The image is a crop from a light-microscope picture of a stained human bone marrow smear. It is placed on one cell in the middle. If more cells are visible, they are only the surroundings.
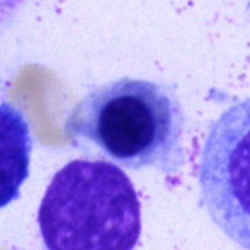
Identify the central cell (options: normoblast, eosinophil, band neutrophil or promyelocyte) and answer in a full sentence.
The cell in the middle of the field of view is a normoblast.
